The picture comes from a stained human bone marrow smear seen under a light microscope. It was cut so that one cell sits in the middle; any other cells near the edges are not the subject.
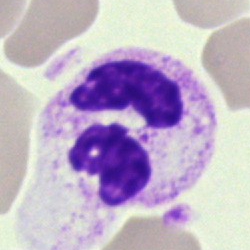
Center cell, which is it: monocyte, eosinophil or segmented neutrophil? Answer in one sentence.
At the center of the crop sits a segmented neutrophil.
